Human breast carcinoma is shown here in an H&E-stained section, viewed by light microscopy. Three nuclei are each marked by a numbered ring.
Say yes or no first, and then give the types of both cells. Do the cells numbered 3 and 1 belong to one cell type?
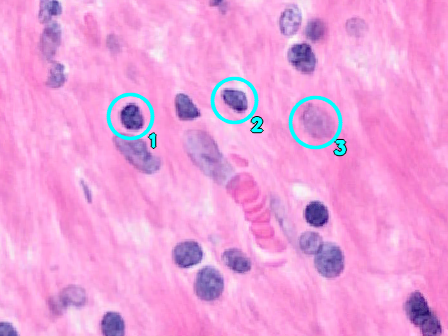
No, cell 3 is a fibroblast and cell 1 is a lymphocyte.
